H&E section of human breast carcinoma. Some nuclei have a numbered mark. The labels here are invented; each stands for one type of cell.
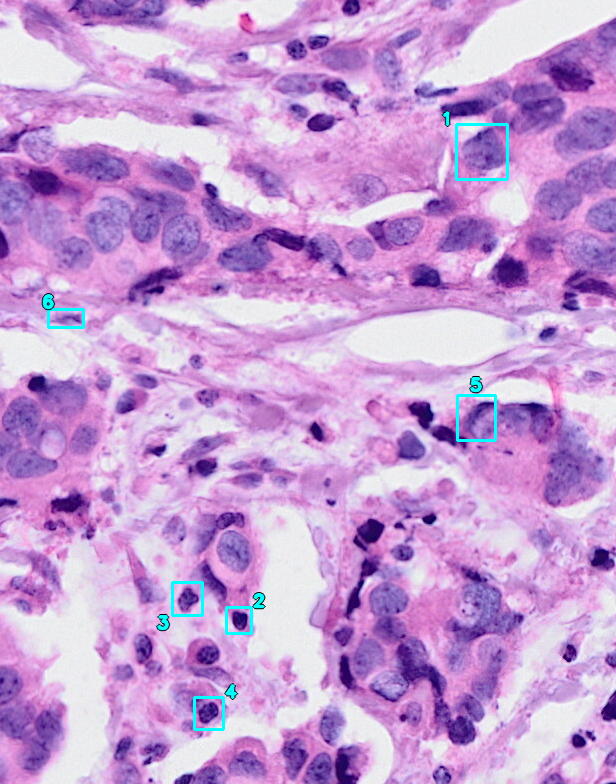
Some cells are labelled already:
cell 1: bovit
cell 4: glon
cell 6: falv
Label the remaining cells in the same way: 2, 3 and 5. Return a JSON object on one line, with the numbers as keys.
{"2": "glon", "3": "glon", "5": "bovit"}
